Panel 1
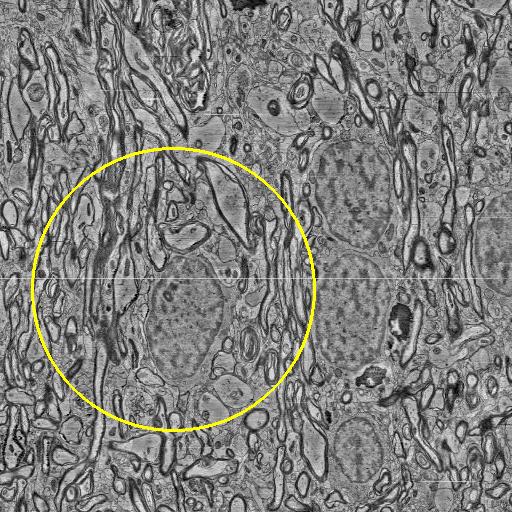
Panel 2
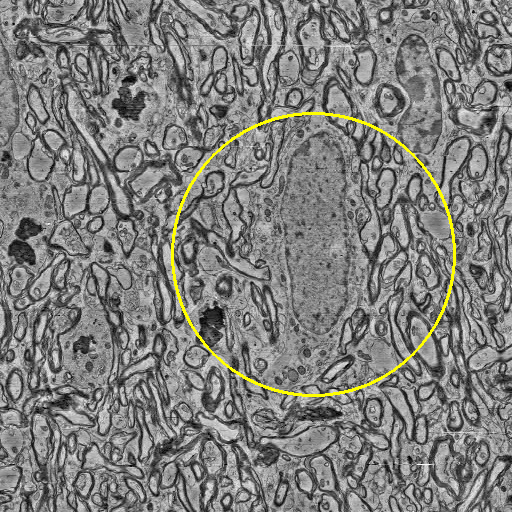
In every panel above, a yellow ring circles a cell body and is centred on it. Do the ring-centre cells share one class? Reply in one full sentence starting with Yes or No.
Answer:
No, the two cells at the ring centres in the panels belong to two classes.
